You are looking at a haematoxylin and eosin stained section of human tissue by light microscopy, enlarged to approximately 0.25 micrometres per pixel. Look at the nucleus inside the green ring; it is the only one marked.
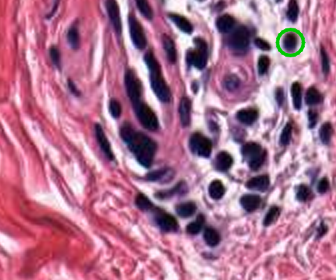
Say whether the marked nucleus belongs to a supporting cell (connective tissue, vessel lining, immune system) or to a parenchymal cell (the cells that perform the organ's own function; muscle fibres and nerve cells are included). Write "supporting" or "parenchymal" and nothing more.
supporting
